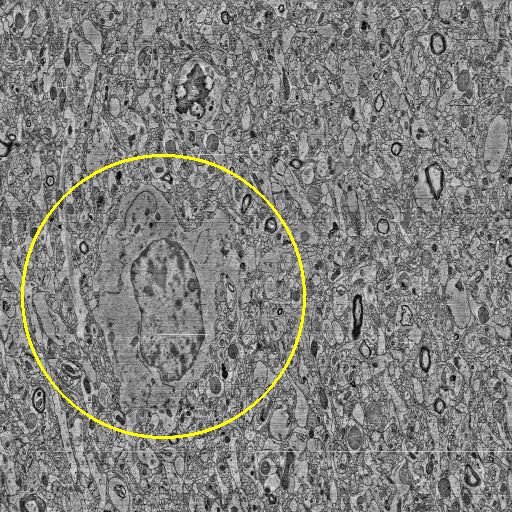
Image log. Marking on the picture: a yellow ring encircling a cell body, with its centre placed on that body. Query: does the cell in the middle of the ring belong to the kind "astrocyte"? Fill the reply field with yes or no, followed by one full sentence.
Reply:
Yes, the cell at the centre of the yellow ring in this picture belongs to that kind.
